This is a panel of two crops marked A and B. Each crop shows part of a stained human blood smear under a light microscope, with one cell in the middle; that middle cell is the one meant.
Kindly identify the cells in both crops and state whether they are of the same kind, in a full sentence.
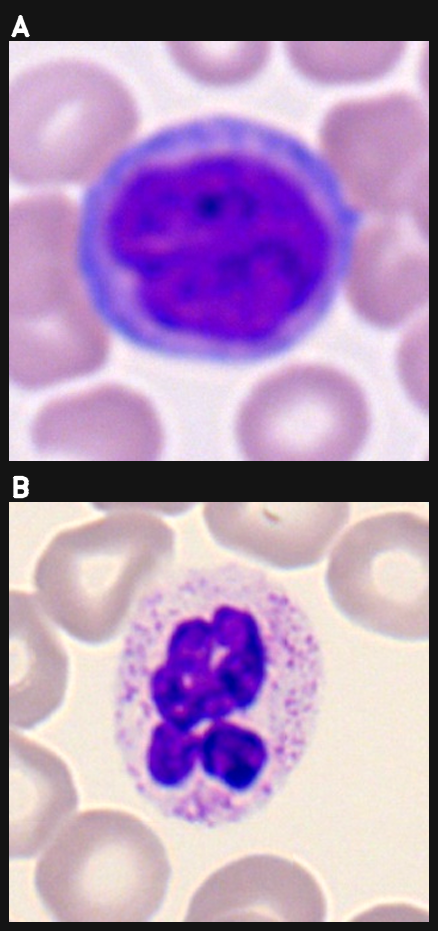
No, a monocyte occupies the middle of crop A, and a neutrophil the middle of crop B.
